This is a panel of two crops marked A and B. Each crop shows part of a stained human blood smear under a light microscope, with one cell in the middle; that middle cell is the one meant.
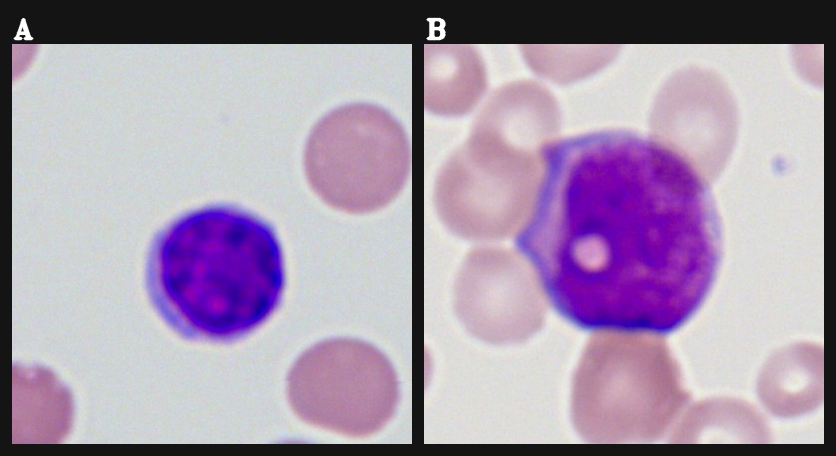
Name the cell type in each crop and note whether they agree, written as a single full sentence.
No, crop A and crop B contain, respectively, a lymphocyte and a myeloblast.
